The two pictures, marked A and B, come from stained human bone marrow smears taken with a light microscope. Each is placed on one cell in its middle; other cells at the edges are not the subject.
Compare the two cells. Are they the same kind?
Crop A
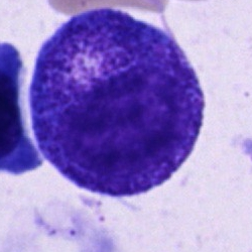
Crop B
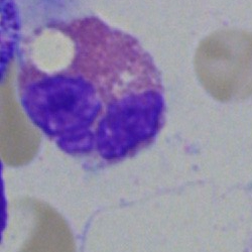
no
